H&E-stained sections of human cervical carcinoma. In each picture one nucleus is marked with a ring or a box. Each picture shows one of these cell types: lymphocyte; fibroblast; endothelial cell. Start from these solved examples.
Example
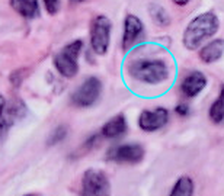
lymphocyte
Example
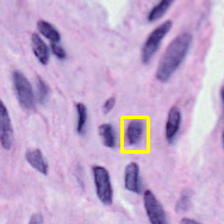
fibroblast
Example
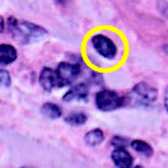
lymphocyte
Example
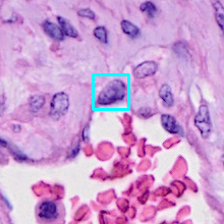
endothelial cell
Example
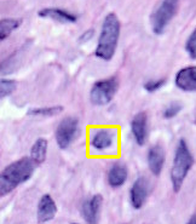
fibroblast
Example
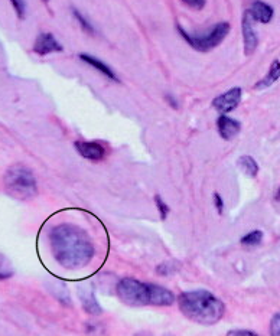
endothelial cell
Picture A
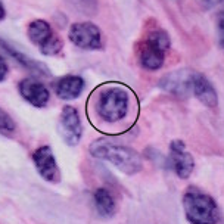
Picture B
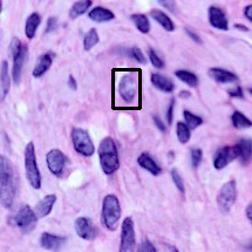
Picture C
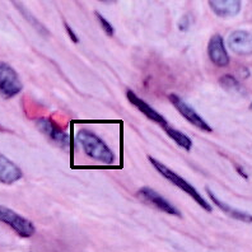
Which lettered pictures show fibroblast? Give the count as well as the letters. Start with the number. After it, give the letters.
0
